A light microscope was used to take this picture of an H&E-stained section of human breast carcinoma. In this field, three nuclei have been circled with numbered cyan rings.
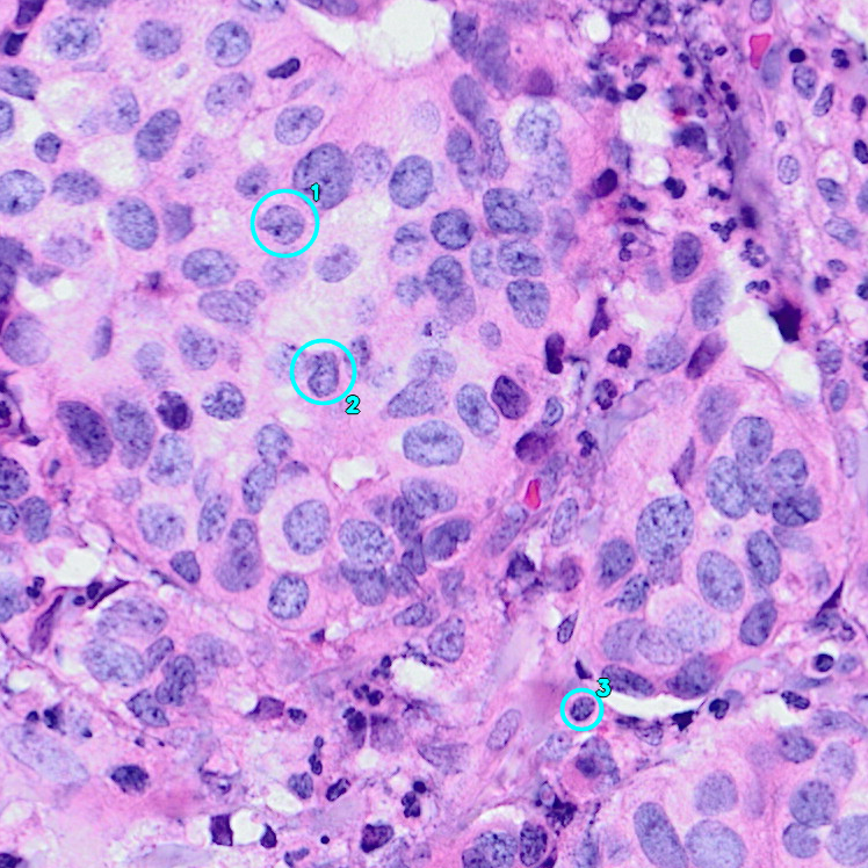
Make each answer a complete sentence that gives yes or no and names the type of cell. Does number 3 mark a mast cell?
Yes, the cell that goes by number 3 is a mast cell.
